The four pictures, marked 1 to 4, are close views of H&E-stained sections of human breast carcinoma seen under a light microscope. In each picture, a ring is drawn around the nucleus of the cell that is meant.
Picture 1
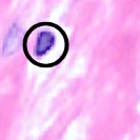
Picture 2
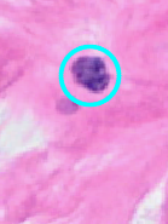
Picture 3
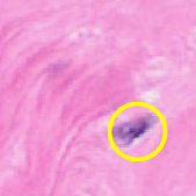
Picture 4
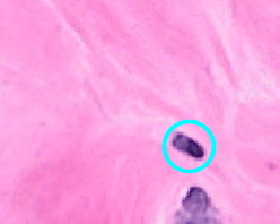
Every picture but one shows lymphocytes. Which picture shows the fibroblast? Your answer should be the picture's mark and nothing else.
3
